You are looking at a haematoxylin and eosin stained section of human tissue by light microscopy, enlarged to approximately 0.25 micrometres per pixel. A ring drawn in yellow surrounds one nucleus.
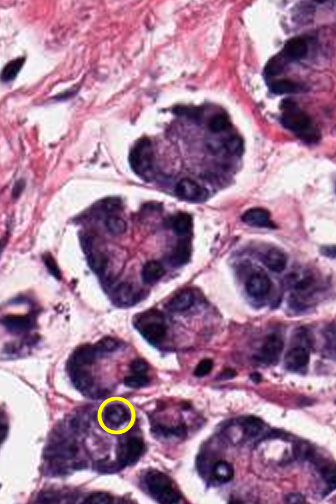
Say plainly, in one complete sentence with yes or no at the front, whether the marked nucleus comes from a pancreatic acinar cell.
Yes, it is the nucleus of a pancreatic acinar cell that has been marked.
